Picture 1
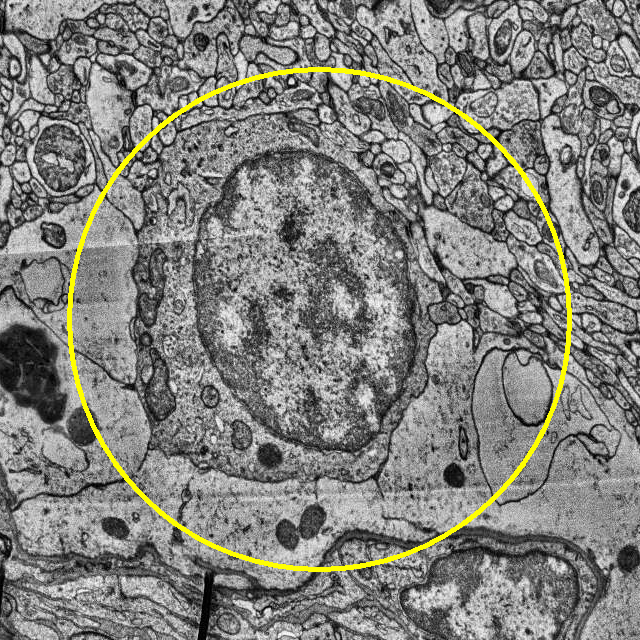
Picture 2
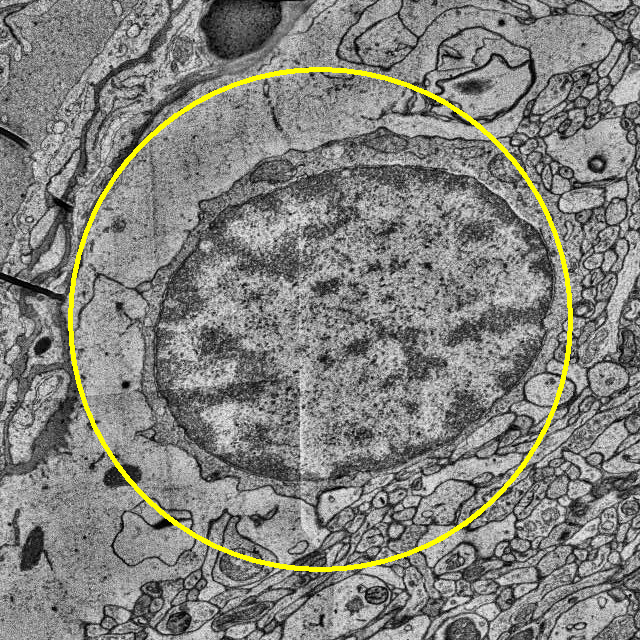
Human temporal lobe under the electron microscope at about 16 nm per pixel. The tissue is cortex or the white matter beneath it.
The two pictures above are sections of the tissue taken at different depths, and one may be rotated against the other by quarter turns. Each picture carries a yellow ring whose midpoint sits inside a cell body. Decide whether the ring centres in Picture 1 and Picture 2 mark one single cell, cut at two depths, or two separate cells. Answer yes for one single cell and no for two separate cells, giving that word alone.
yes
